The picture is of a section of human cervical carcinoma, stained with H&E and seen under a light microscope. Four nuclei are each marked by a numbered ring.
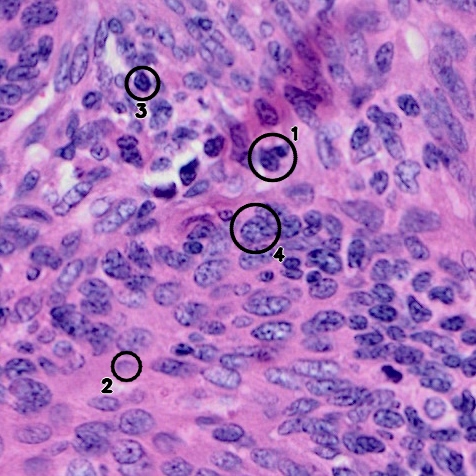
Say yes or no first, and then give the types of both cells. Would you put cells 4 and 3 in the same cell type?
No, as to type, cell 4 is a squamous carcinoma cell, and cell 3 is a lymphocyte.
